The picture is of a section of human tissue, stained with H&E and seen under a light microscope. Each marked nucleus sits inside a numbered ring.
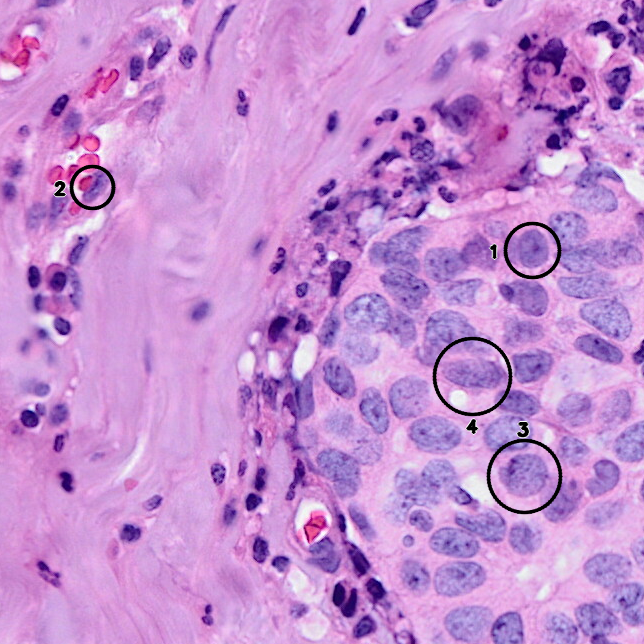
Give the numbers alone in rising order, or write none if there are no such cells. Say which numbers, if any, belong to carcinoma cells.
1, 3, 4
